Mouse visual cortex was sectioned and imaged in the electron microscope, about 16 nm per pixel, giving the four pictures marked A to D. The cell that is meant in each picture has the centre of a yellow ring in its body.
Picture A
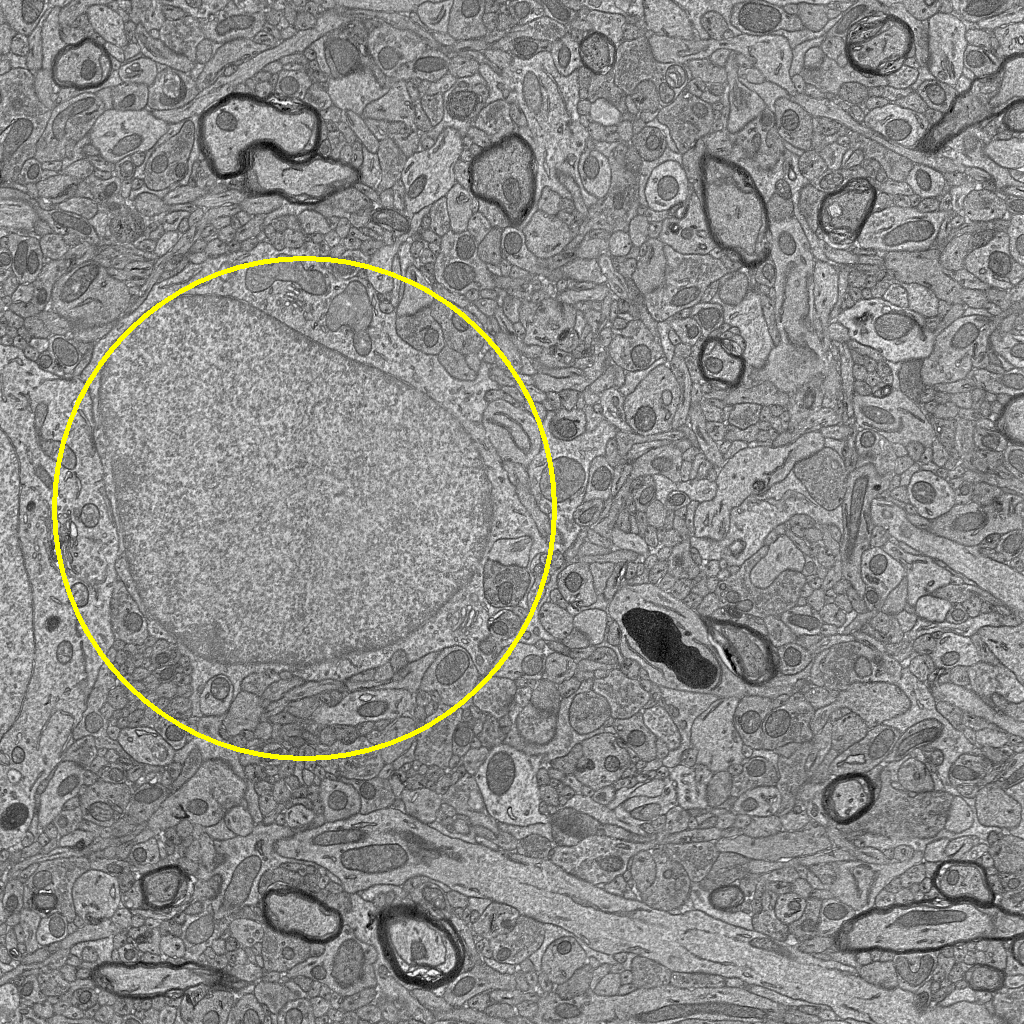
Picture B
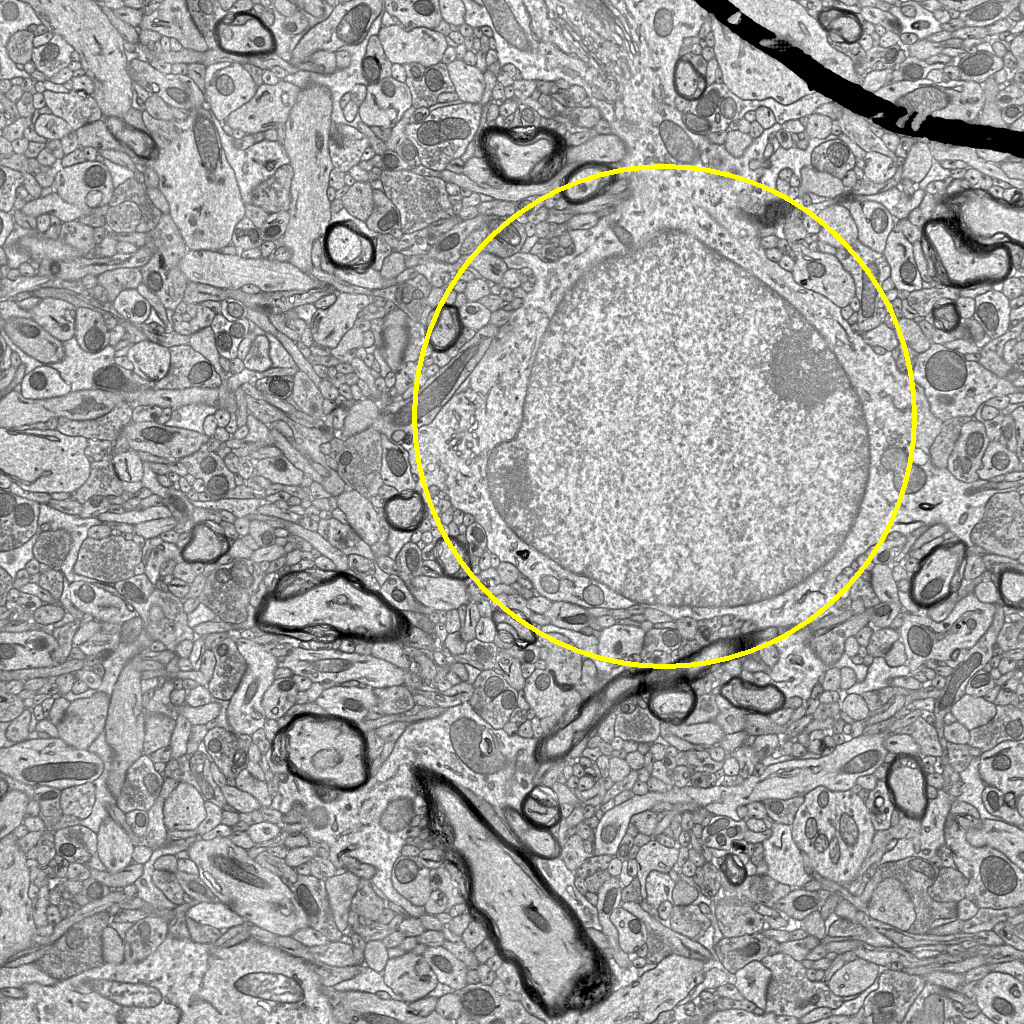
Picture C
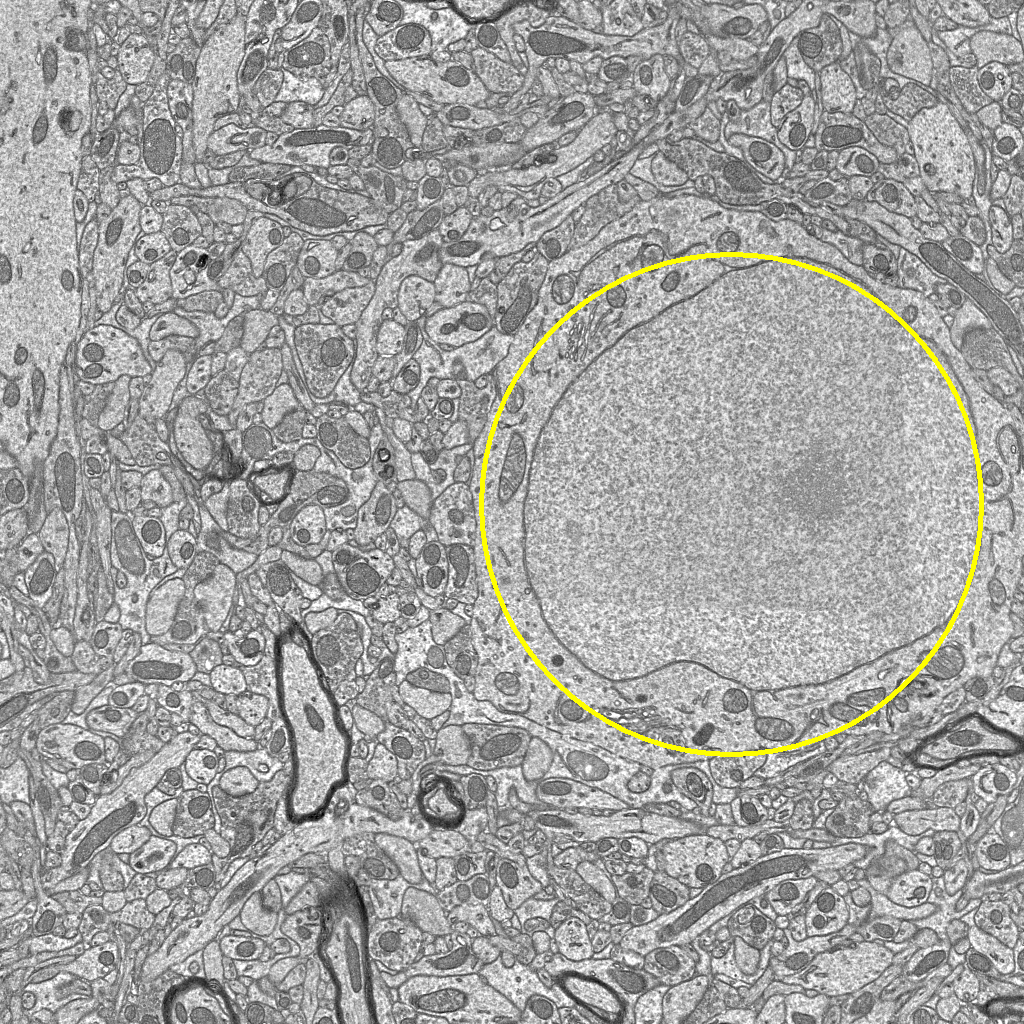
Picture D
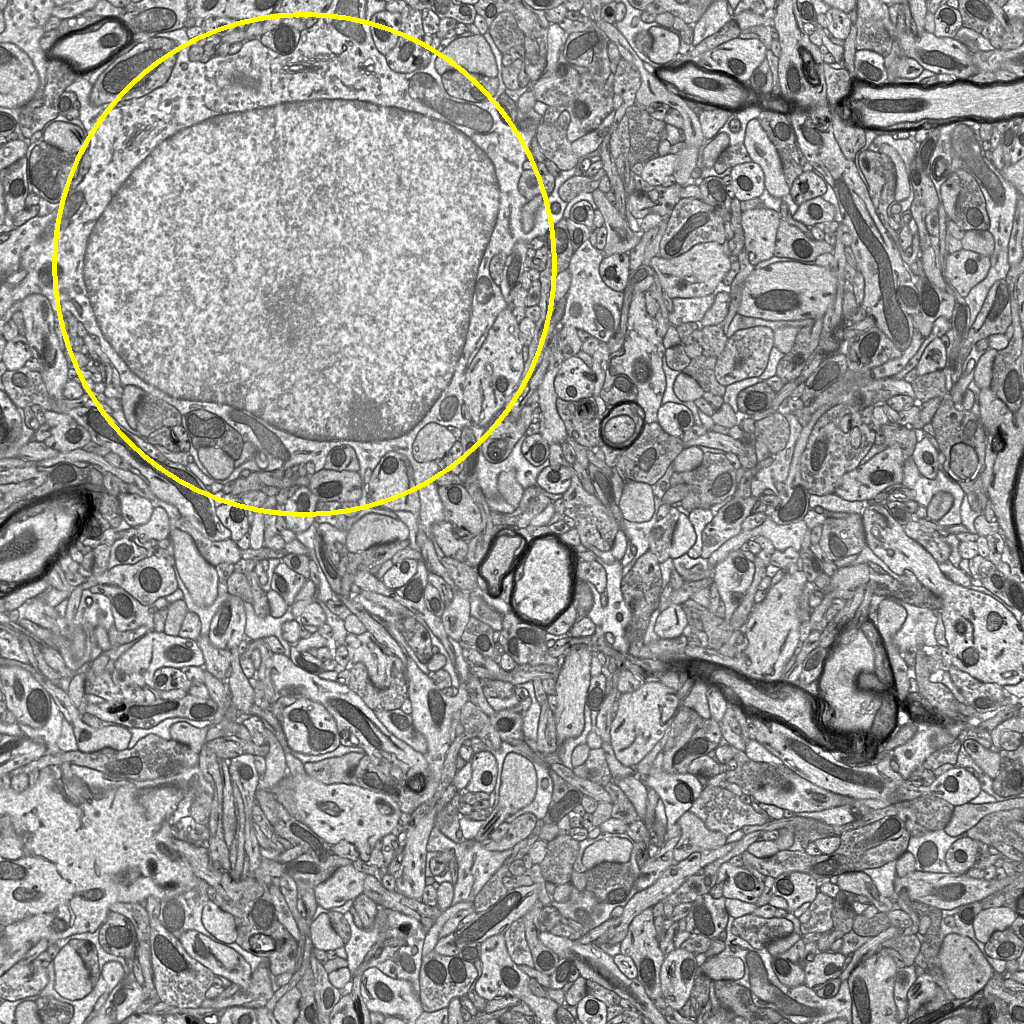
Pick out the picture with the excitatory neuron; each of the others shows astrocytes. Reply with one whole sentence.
The picture with the excitatory neuron is C.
